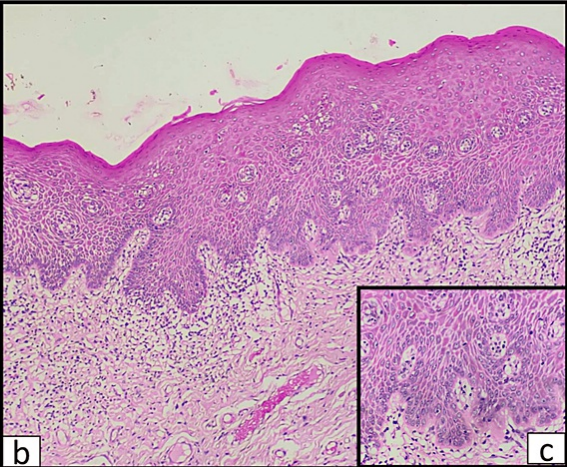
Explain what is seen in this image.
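The section shows a thick stratified squamous epithelium over pale pink fibrous connective tissue. A thin, deeper-pink keratin layer lines the surface, and irregular, bulbous rete ridges extend down into the connective tissue. The lower epithelial layers are crowded with dark purple nuclei, and in the enlarged inset these nuclei vary in size and shape. Small dark round nuclei of inflammatory cells are scattered through the connective tissue beneath the epithelium.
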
